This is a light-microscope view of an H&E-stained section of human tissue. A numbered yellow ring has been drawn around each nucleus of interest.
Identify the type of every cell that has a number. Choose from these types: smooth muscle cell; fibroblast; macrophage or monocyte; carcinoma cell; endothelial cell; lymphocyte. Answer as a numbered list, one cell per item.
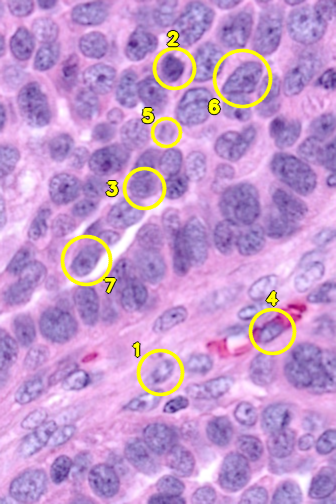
1. fibroblast
2. carcinoma cell
3. carcinoma cell
4. endothelial cell
5. macrophage or monocyte
6. carcinoma cell
7. carcinoma cell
